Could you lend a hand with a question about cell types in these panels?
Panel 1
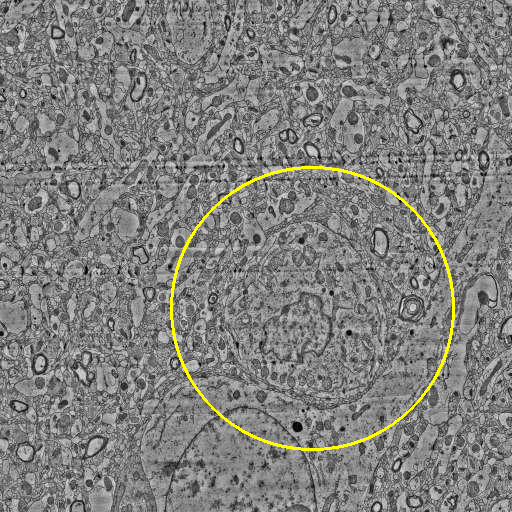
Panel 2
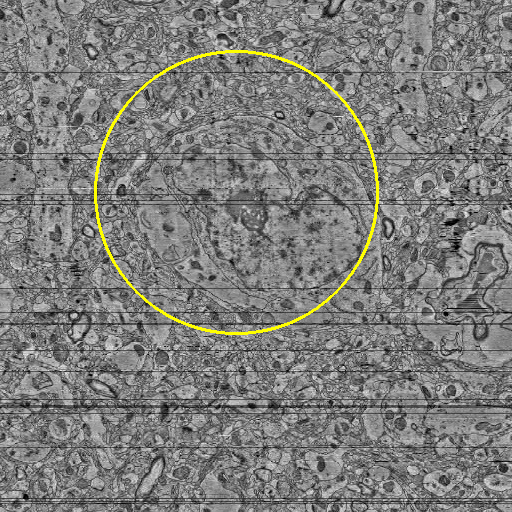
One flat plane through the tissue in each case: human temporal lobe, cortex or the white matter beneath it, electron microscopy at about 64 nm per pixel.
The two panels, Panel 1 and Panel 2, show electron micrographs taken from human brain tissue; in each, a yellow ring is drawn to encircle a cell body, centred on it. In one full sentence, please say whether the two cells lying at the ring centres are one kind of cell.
Yes, the cells at the ring centres in the two panels are one kind of cell.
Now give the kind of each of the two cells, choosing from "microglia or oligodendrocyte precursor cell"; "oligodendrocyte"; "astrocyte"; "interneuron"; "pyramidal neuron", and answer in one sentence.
In each of the two pictures, the ringed cell is an interneuron.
